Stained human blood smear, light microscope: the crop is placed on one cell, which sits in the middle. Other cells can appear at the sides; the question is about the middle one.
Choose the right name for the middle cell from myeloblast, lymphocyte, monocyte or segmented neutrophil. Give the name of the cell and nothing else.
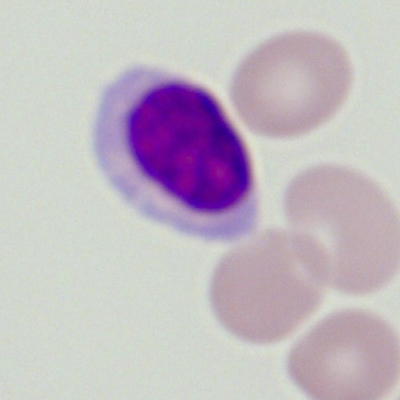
lymphocyte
